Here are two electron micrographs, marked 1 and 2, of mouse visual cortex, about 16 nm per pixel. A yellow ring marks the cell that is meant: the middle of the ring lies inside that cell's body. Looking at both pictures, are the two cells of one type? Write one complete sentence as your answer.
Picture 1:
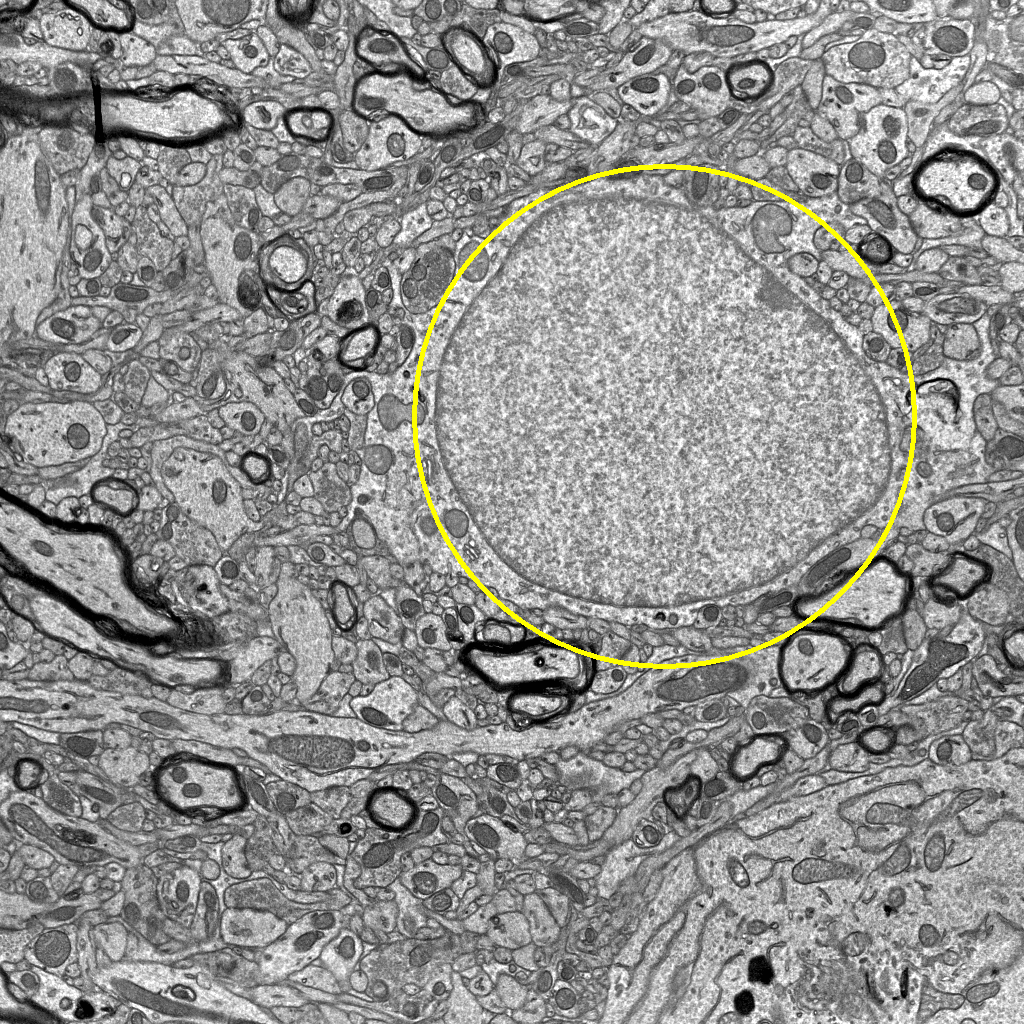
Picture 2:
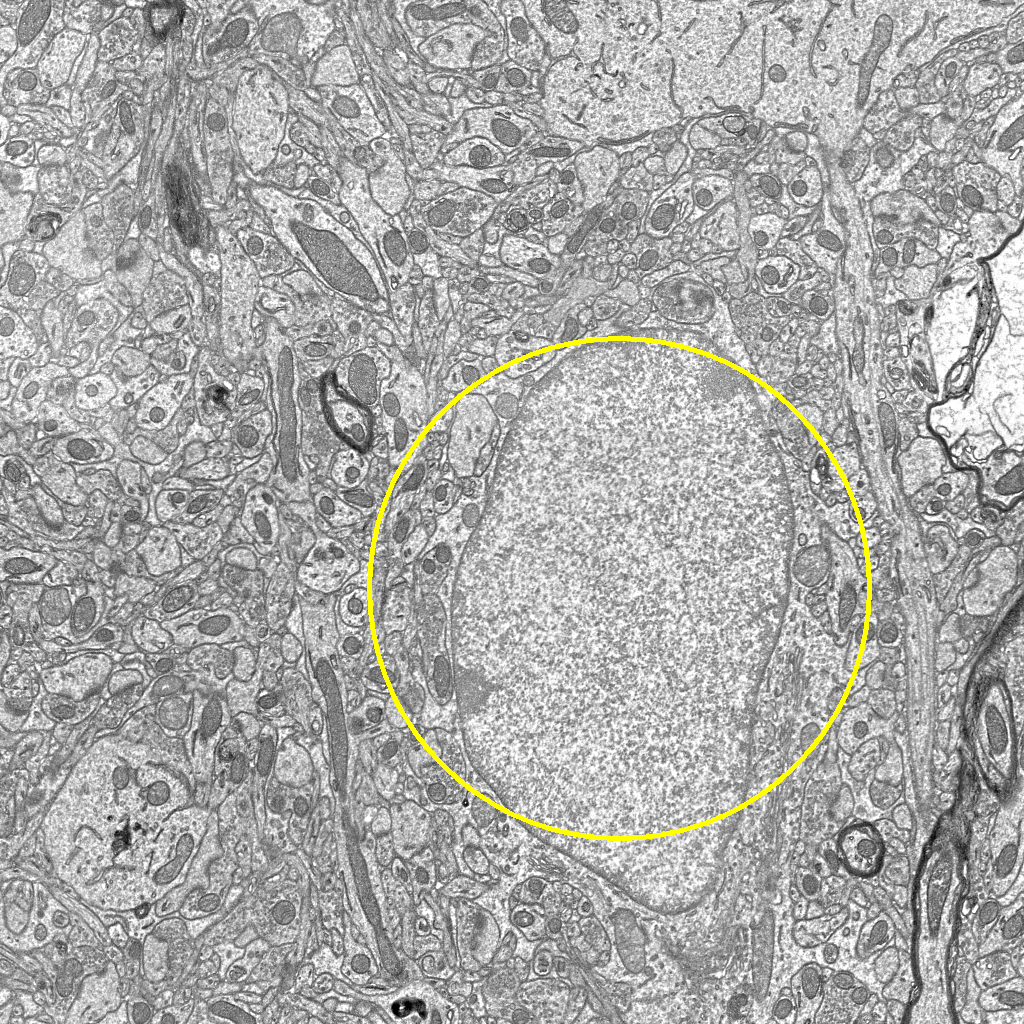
Yes, both are astrocytes.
